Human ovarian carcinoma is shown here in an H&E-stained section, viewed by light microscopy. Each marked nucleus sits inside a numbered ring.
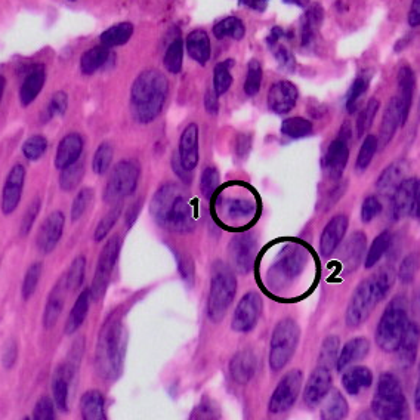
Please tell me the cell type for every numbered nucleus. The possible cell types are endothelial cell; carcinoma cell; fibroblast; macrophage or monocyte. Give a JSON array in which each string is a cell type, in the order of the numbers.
["macrophage or monocyte", "carcinoma cell"]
